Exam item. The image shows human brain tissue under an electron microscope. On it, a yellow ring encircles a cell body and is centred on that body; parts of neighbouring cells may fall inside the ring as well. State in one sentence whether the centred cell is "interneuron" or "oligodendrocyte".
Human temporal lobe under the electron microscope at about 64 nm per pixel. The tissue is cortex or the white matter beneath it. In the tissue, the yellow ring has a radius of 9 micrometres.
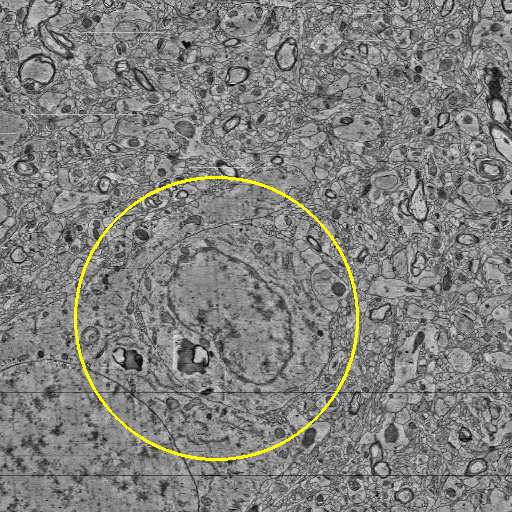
The cell body centred in the ring is an interneuron.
